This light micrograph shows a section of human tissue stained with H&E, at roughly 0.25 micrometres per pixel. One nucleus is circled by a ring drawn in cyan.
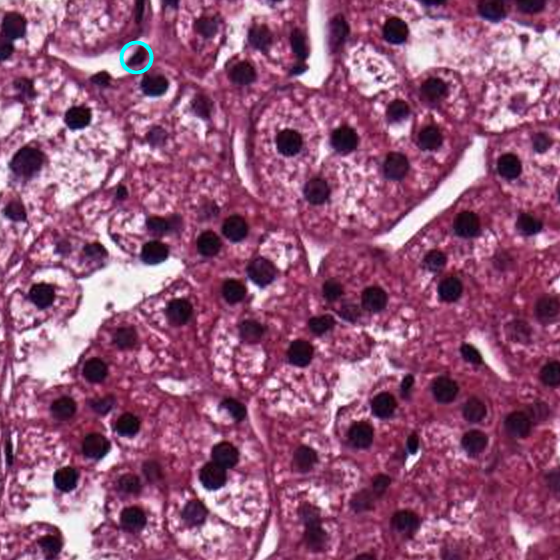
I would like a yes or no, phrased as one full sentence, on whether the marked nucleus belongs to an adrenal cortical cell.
No, it is a supporting cell, not an adrenal cortical cell, to which the marked nucleus belongs.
